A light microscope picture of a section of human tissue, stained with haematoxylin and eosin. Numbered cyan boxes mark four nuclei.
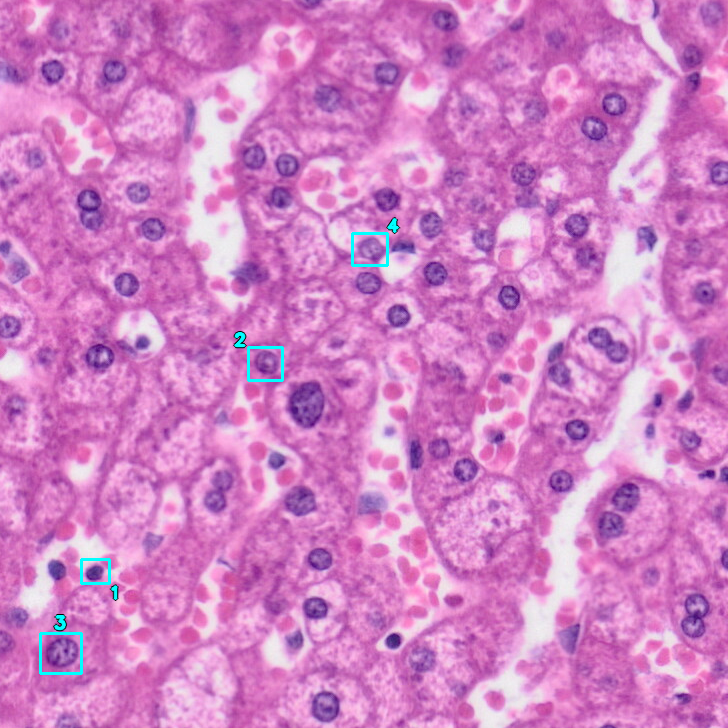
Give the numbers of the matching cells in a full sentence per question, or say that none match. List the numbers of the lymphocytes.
Only number 1 is a lymphocyte; none of the others are.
